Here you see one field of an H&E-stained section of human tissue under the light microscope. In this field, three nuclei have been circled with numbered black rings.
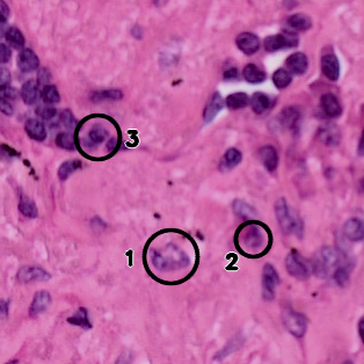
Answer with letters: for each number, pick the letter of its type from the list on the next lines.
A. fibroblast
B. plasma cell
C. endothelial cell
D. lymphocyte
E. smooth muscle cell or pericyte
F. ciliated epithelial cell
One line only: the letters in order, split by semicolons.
A; B; D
